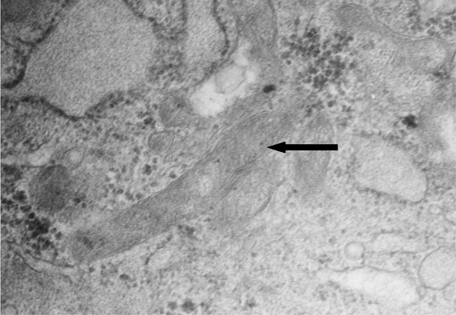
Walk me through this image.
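An arrow marks an elongated, rod-shaped, membrane-bound organelle, a Weibel-Palade body, with fine internal lines running along its long axis. Nearby lie rounded membrane-bound profiles with finely granular contents, along with small vesicles. Clusters of small dense granules, likely ribosomes or glycogen, are also present. Pale, partly empty vacuoles appear near the centre of the field.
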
